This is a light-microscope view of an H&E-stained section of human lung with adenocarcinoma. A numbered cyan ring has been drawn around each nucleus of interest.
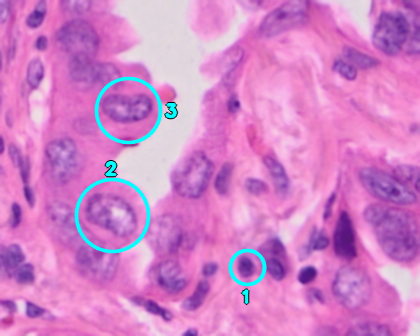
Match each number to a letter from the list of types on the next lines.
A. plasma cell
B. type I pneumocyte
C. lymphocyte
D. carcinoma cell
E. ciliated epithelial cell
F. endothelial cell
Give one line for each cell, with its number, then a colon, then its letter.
1: C
2: D
3: D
